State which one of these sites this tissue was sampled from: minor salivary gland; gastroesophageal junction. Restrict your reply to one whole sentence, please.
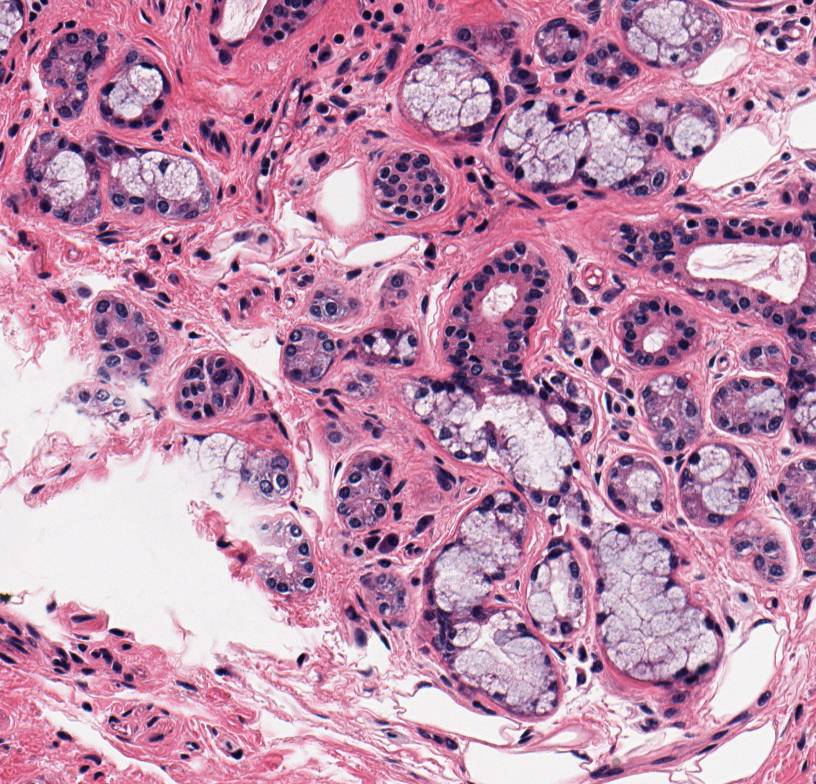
This is tissue that was sampled from the minor salivary gland.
